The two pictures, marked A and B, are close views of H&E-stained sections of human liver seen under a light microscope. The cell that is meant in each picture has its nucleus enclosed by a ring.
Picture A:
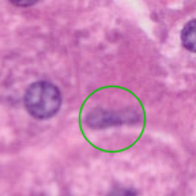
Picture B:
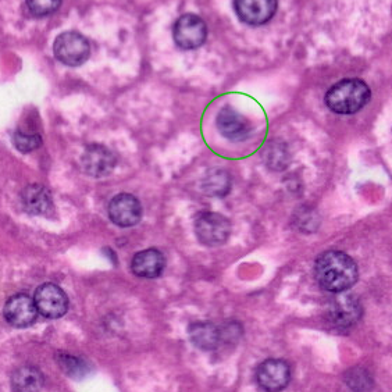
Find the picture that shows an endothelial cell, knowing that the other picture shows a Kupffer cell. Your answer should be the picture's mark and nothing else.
B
